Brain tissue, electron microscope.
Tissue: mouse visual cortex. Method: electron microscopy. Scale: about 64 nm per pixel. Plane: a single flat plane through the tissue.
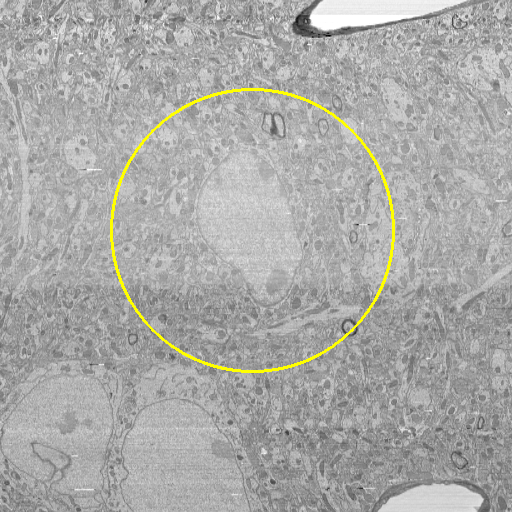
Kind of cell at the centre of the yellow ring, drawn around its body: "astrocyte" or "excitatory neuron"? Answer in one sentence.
The ring's centre falls on an astrocyte.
